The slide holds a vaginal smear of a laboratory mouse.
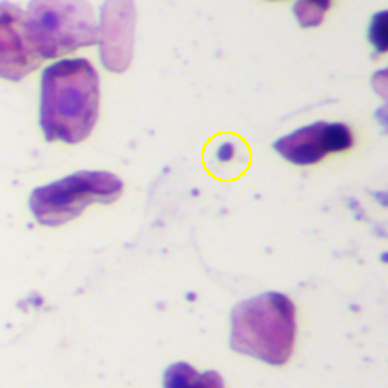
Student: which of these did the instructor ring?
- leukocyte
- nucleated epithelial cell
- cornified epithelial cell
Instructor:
The cell I ringed is a leukocyte.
